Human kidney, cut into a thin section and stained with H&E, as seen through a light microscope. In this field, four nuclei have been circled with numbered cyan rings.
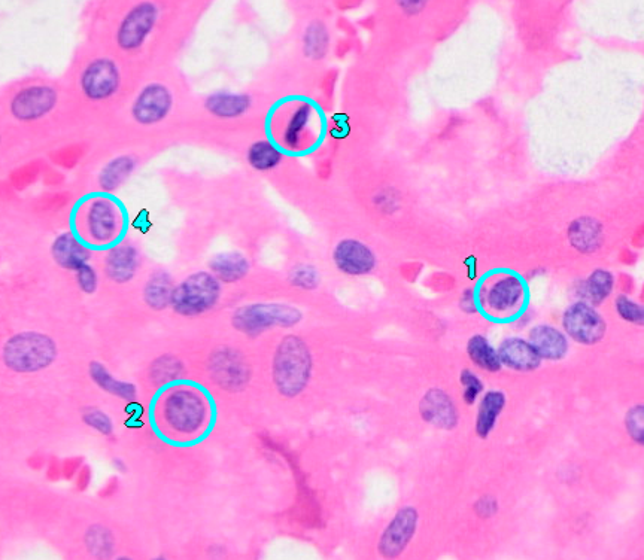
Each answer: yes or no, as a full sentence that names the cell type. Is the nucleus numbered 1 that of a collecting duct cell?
Yes, the nucleus numbered 1 belongs to a collecting duct cell.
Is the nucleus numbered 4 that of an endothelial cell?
No, number 4 is not an endothelial cell; it is a collecting duct cell.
